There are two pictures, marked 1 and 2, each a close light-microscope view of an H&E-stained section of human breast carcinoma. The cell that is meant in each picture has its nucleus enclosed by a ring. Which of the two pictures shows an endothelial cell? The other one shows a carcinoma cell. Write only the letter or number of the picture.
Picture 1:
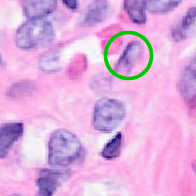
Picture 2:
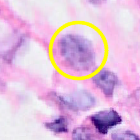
1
